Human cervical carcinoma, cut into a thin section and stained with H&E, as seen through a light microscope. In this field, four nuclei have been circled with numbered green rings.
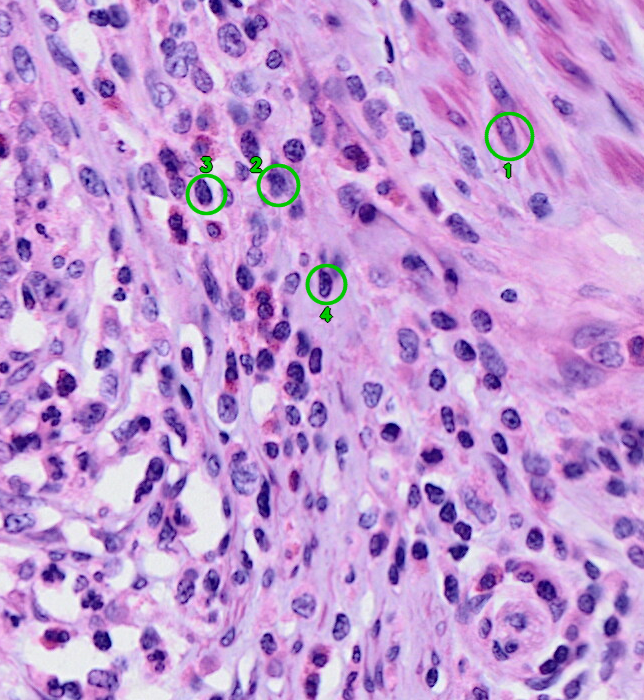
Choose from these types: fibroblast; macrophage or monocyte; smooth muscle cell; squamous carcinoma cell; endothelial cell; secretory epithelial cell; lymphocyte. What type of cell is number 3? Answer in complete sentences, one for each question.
It is as a lymphocyte that the cell numbered 3 is identified.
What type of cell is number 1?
It is as a smooth muscle cell that the cell numbered 1 is identified.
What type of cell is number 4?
The nucleus labelled 4 belongs to a lymphocyte.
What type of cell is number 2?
In the tissue shown, cell 2 is a lymphocyte.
